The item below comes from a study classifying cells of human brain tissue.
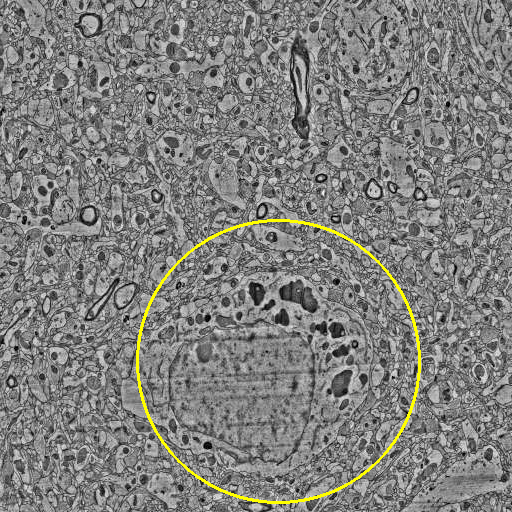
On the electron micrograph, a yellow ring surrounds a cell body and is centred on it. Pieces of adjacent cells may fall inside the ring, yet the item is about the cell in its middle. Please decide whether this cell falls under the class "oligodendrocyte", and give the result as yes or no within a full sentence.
No, the cell at the middle of the ring on the micrograph is of another kind.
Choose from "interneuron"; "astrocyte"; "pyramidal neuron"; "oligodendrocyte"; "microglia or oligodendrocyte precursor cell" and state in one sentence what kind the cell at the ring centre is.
In this picture, the ring is centred on an interneuron.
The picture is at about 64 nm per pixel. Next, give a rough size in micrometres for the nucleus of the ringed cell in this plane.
About 10 micrometers across, in this plane.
